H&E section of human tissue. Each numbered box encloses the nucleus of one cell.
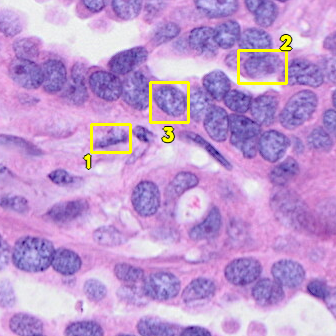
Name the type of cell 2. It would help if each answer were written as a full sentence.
It is as a carcinoma cell that the cell numbered 2 is identified.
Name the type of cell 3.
What the number 3 marks in this field is a carcinoma cell.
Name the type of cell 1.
Cell 1 of the marked set is a fibroblast.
